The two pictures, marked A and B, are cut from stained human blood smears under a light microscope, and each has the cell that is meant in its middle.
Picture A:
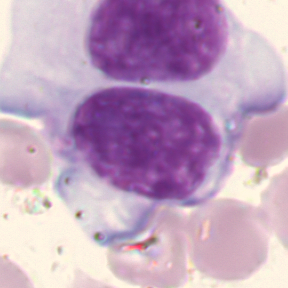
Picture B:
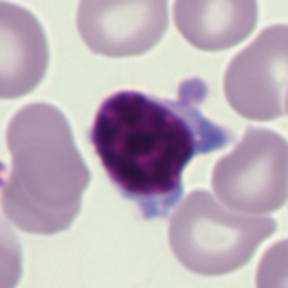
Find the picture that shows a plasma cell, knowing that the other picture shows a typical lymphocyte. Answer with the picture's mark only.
A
